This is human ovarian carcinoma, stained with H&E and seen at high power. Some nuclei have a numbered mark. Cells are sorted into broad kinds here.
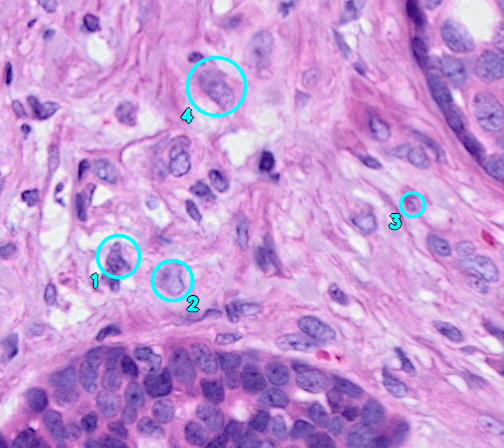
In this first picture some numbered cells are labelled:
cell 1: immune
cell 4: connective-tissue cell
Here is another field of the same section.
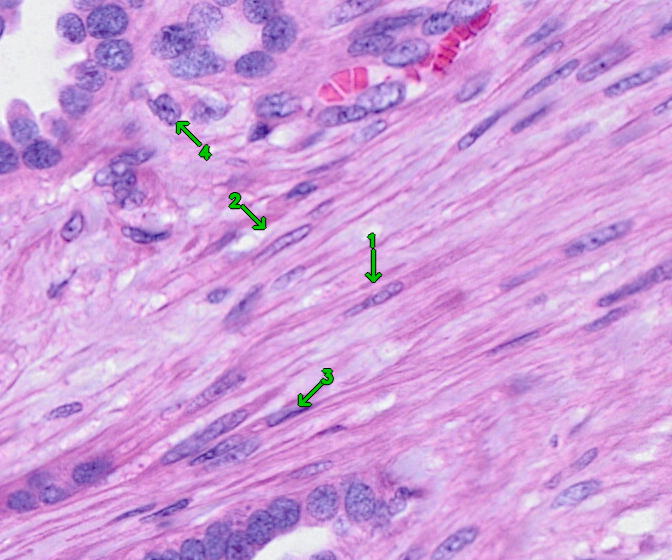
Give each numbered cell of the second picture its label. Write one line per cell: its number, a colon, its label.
1: connective-tissue cell
2: connective-tissue cell
3: connective-tissue cell
4: immune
